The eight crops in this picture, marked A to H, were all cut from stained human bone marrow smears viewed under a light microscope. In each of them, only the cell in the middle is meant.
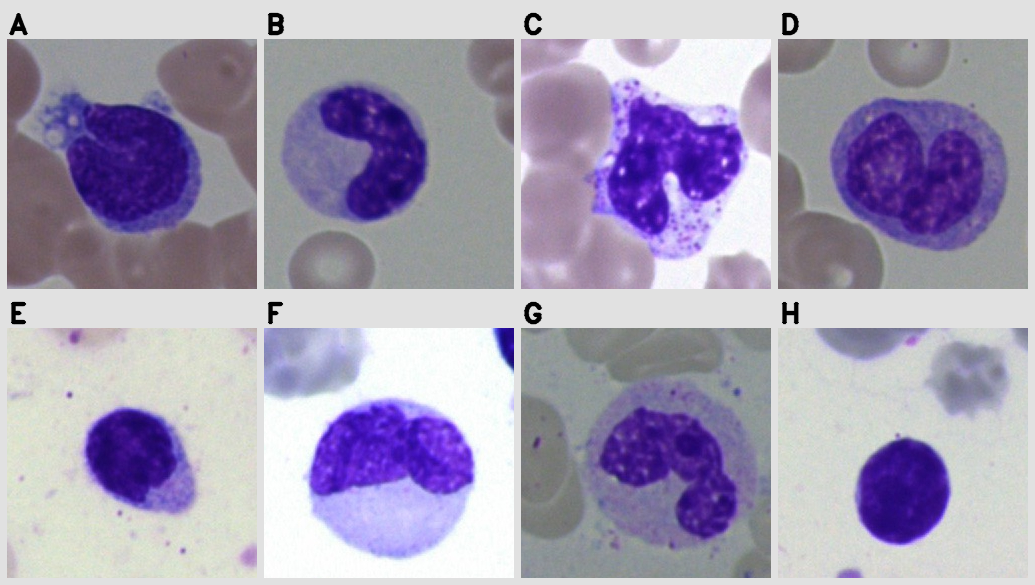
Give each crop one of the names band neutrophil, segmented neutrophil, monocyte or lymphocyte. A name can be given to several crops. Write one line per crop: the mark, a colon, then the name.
A: monocyte
B: band neutrophil
C: band neutrophil
D: monocyte
E: lymphocyte
F: band neutrophil
G: band neutrophil
H: lymphocyte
